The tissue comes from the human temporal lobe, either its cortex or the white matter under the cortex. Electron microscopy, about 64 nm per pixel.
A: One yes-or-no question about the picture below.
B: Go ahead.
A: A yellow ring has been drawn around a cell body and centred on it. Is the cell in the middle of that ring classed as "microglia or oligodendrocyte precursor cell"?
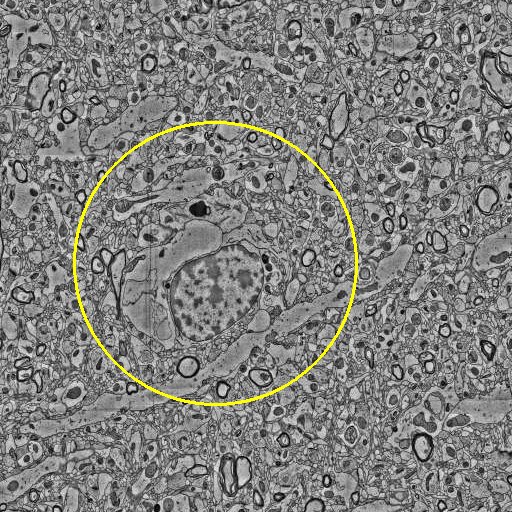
Yes, it is classed that way.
